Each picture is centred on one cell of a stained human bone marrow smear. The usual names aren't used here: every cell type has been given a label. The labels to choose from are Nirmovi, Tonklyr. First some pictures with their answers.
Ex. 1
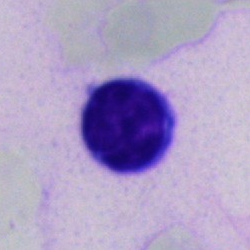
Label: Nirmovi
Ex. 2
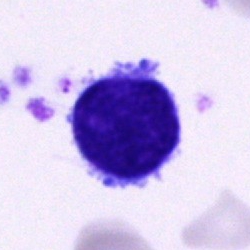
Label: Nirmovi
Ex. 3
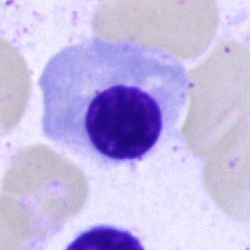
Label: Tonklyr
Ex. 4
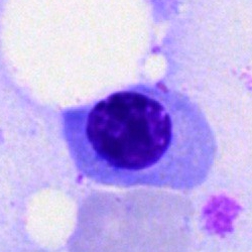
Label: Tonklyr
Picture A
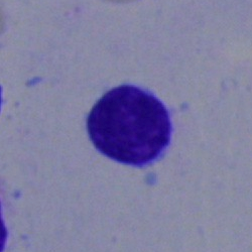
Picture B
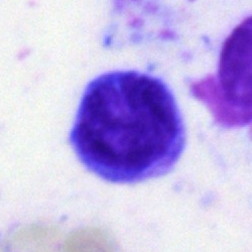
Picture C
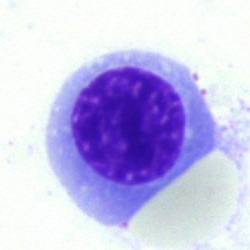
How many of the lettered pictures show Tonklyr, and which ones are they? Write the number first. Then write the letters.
1: C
